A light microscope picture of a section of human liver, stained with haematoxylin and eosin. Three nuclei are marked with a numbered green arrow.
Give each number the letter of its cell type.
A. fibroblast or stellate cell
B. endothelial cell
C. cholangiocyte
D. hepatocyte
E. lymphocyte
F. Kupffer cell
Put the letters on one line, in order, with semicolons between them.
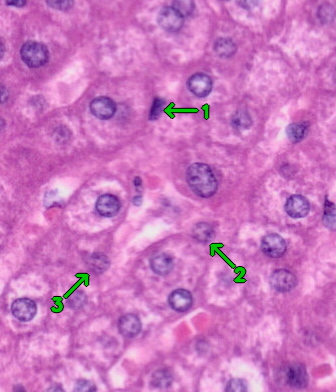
A; D; D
